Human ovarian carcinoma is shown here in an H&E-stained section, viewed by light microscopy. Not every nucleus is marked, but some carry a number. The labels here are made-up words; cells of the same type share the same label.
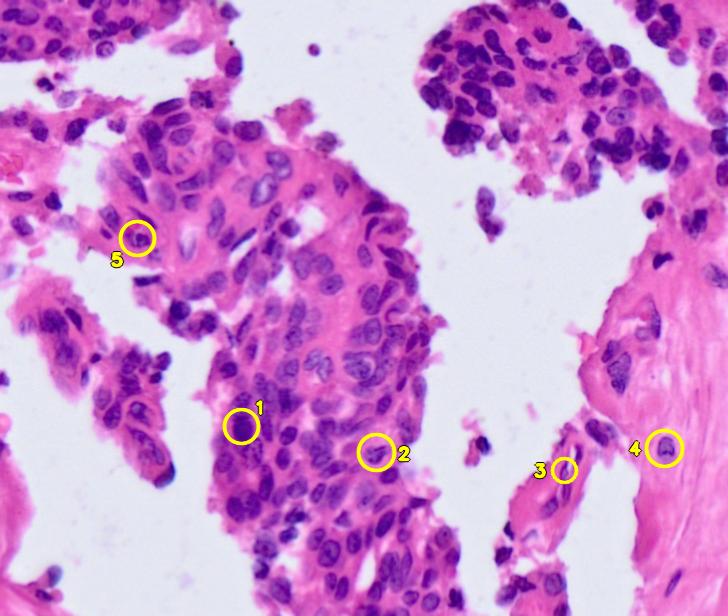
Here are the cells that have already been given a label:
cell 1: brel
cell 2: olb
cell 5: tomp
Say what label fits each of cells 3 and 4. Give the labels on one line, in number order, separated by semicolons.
tomp; olb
